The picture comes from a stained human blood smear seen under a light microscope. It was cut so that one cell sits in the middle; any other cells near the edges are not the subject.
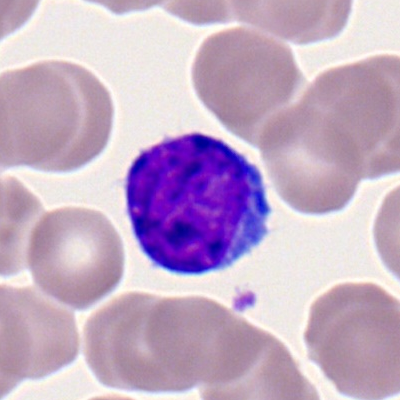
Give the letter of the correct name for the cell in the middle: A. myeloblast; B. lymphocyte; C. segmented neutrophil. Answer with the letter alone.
B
